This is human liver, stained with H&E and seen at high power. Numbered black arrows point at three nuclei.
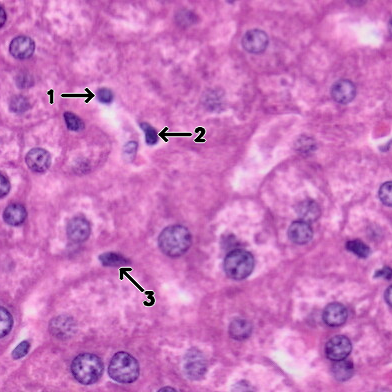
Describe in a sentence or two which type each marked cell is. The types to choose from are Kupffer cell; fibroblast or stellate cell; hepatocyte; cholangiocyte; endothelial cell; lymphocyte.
Cells 1 and 2 are lymphocytes. Cell 3 is an endothelial cell.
